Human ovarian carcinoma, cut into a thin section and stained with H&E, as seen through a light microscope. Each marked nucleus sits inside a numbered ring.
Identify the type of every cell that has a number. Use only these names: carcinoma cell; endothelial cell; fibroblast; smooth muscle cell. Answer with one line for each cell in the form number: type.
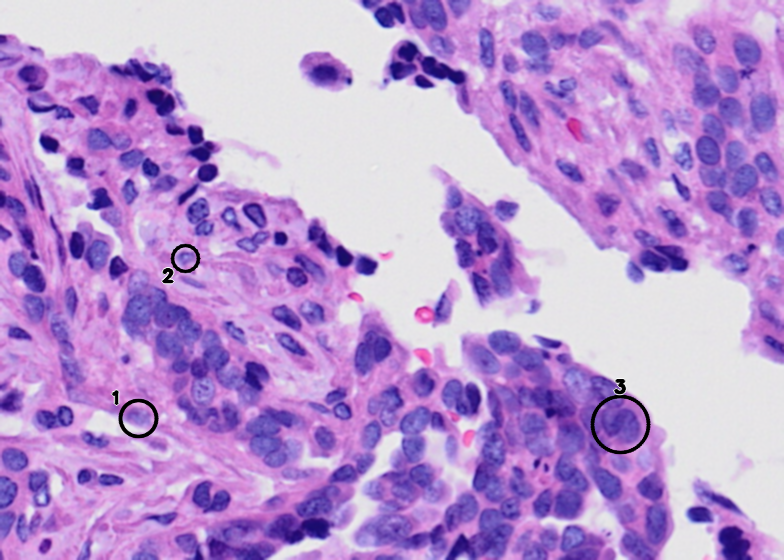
1: fibroblast
2: fibroblast
3: carcinoma cell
